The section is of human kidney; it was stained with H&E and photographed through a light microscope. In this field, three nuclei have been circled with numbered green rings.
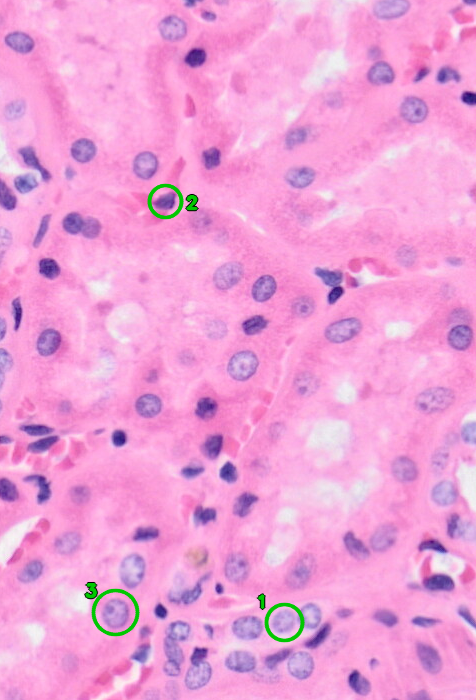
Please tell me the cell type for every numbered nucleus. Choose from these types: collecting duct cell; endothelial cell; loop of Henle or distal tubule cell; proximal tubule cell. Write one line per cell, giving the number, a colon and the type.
1: collecting duct cell
2: endothelial cell
3: proximal tubule cell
